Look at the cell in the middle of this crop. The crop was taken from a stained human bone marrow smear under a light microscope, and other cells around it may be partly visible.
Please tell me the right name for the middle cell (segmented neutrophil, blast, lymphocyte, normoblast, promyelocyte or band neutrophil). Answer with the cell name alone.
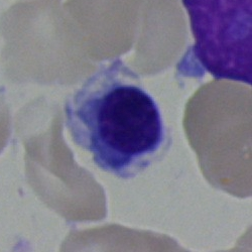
normoblast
